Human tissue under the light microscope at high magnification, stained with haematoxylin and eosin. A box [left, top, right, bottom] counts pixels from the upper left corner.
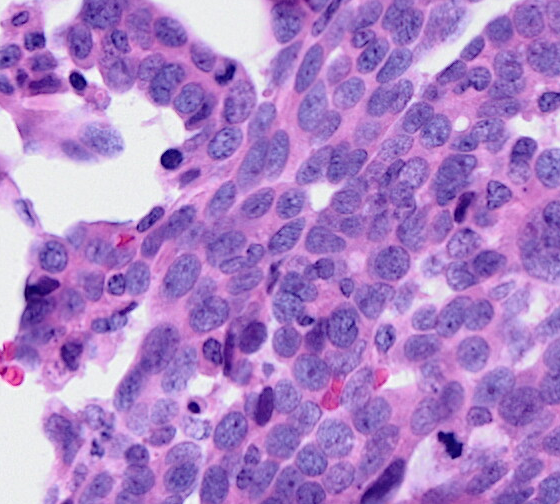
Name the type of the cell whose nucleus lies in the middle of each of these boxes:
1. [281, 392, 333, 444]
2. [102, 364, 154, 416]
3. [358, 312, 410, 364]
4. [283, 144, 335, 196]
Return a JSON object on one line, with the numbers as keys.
{"1": "carcinoma cell", "2": "carcinoma cell", "3": "macrophage or monocyte", "4": "carcinoma cell"}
